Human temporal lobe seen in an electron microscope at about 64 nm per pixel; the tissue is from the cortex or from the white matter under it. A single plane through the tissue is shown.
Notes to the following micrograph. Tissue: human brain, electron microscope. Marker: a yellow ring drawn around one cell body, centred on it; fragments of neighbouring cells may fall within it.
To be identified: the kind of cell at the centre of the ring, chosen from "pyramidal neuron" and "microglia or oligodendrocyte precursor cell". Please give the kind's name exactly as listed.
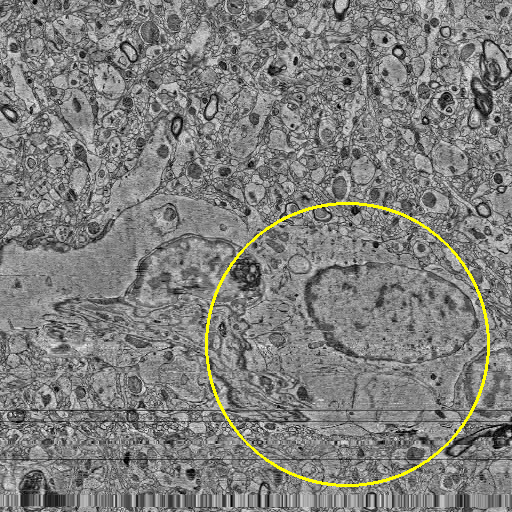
microglia or oligodendrocyte precursor cell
